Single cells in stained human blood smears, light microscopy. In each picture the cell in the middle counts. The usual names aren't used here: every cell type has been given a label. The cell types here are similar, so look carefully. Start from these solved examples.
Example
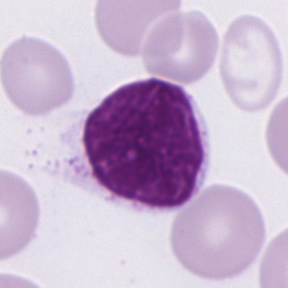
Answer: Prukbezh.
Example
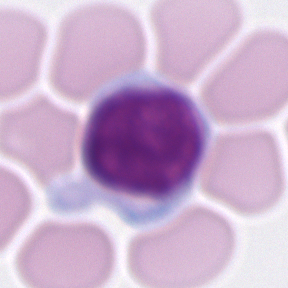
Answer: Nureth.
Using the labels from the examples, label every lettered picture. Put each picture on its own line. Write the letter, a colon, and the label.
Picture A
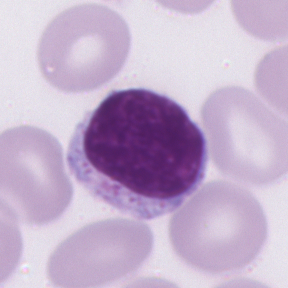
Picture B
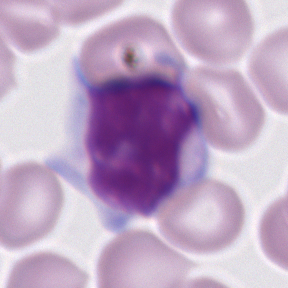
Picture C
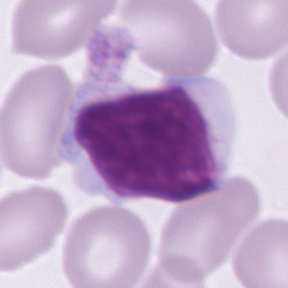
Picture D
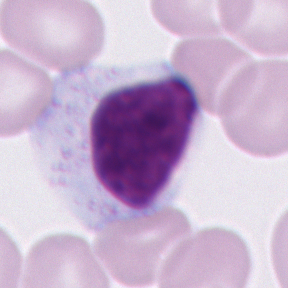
A: Prukbezh.
B: Nureth.
C: Prukbezh.
D: Prukbezh.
